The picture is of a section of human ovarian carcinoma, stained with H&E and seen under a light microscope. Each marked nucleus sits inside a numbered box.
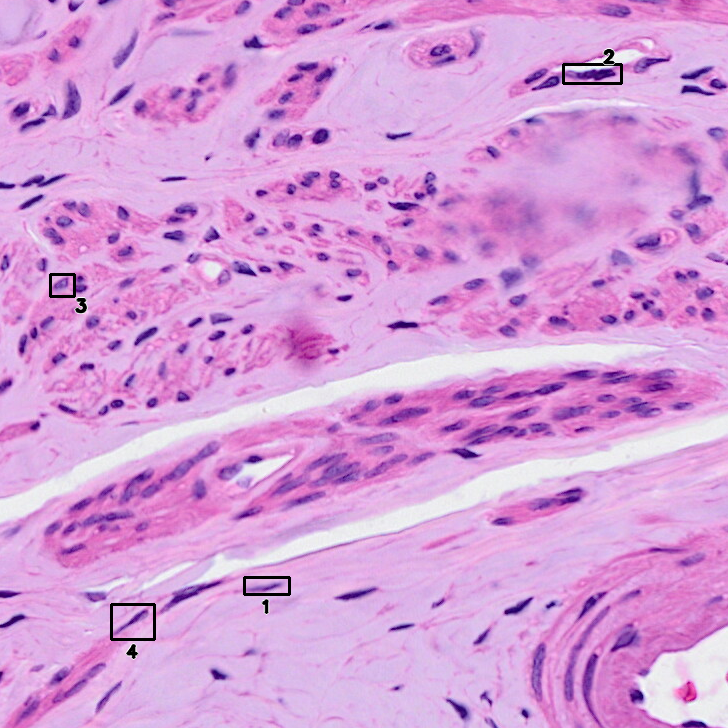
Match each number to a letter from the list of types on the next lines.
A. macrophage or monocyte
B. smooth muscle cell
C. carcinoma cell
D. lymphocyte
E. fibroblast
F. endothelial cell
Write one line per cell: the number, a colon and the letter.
1: E
2: F
3: B
4: E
